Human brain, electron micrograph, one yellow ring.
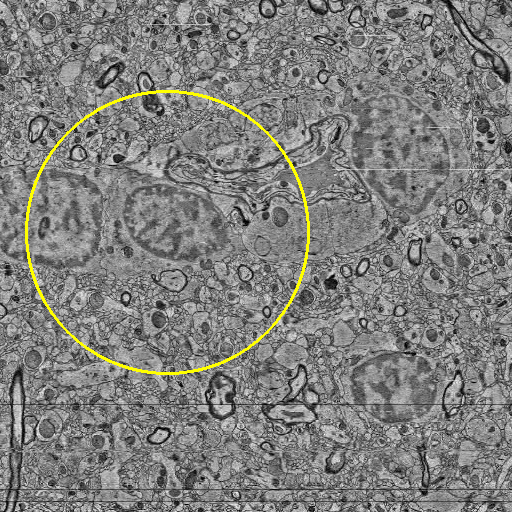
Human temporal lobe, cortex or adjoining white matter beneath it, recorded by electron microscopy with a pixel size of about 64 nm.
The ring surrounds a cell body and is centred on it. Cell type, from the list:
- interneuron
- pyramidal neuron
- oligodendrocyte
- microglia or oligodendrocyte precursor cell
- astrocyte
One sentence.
The yellow ring circles an oligodendrocyte.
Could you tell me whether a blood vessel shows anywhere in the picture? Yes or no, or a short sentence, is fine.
Yes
